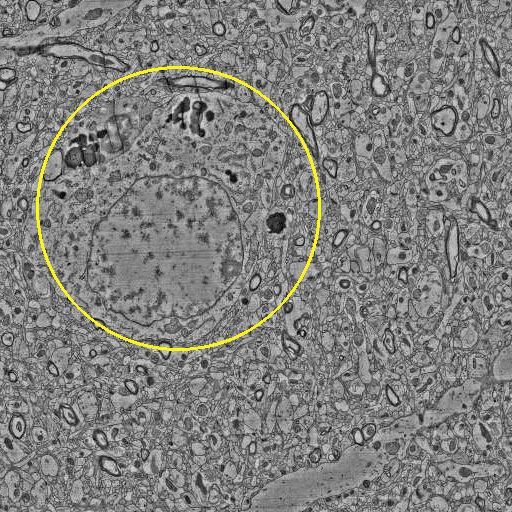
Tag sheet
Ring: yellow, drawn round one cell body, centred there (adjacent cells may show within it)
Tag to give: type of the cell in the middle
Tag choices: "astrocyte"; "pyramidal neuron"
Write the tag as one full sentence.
I tag the cell centred in the yellow ring as a pyramidal neuron in this picture.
